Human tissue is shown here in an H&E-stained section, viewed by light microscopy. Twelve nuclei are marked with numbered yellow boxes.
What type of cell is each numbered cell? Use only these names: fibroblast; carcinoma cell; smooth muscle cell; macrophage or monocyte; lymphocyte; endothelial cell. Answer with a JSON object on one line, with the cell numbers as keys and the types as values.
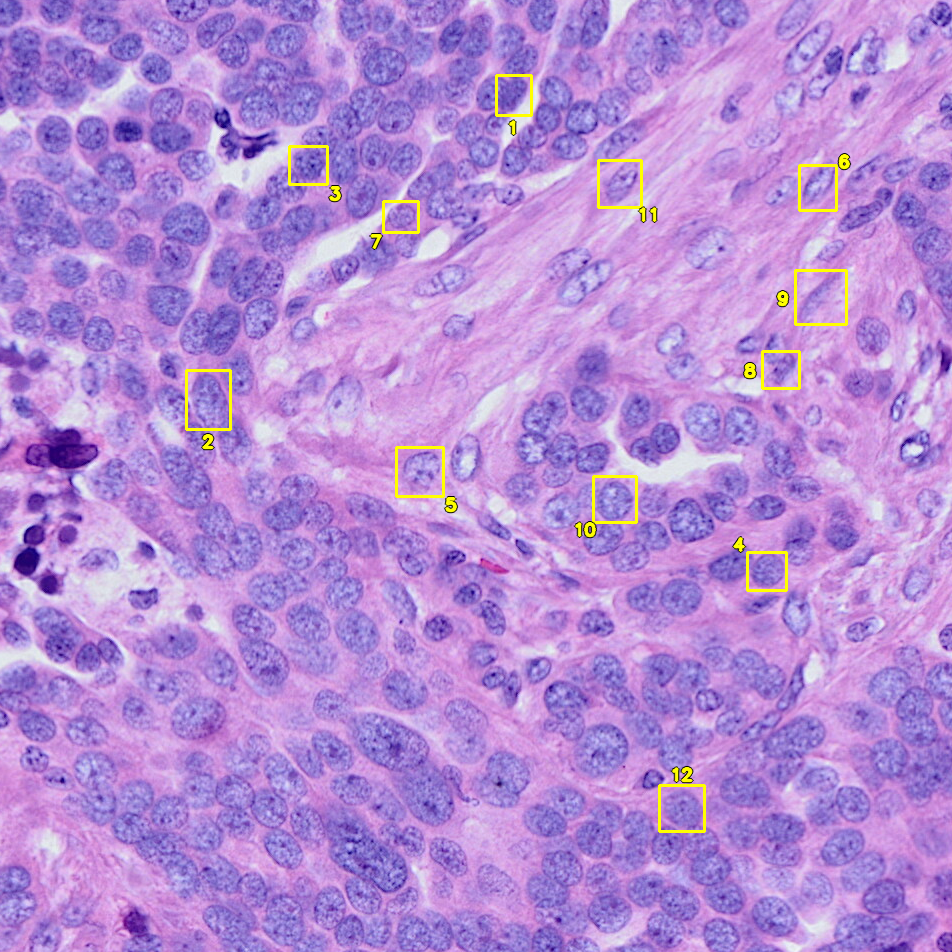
{"1": "carcinoma cell", "2": "carcinoma cell", "3": "carcinoma cell", "4": "carcinoma cell", "5": "fibroblast", "6": "fibroblast", "7": "carcinoma cell", "8": "fibroblast", "9": "fibroblast", "10": "carcinoma cell", "11": "fibroblast", "12": "carcinoma cell"}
